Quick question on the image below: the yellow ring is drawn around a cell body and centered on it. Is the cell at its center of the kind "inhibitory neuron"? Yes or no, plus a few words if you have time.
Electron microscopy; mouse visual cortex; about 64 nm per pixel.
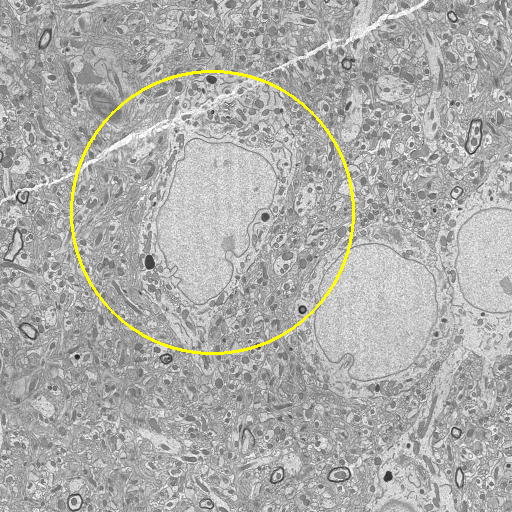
Yes, the cell at the center is of that kind.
